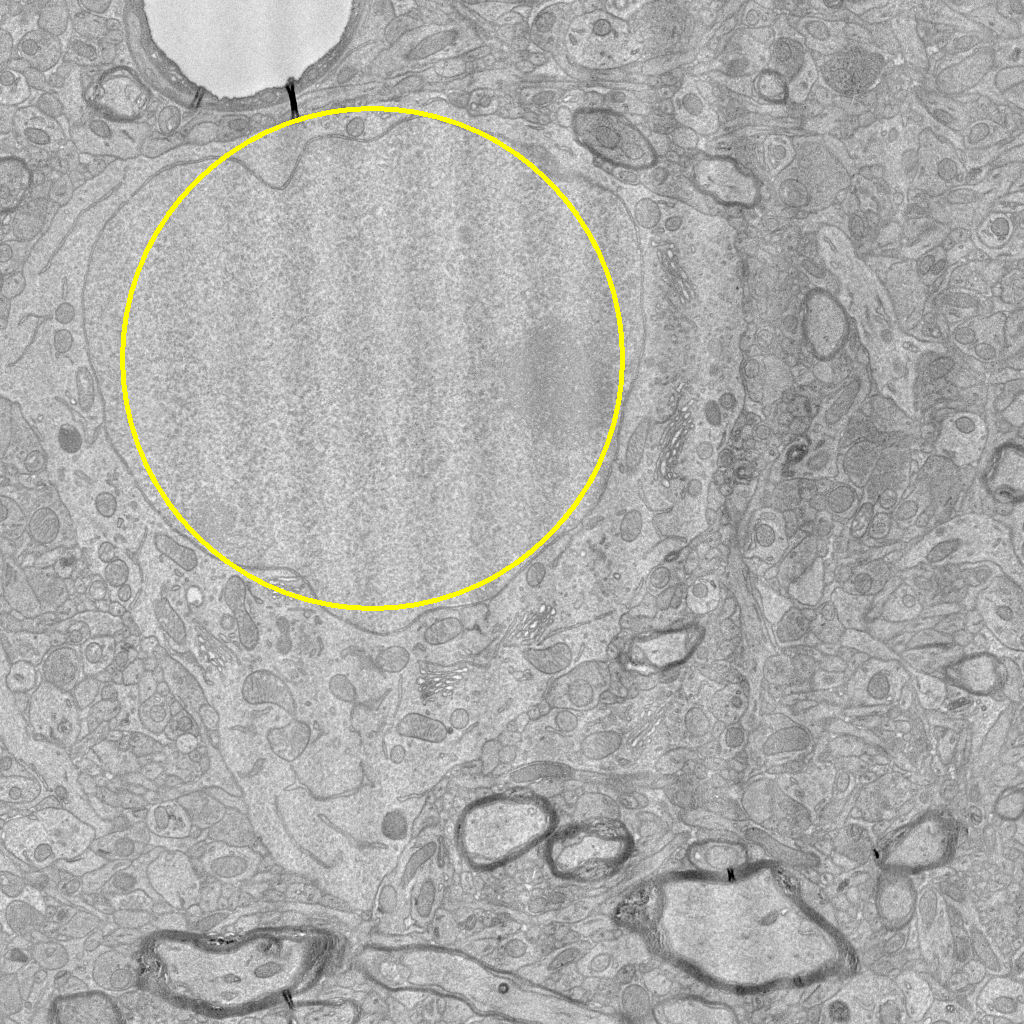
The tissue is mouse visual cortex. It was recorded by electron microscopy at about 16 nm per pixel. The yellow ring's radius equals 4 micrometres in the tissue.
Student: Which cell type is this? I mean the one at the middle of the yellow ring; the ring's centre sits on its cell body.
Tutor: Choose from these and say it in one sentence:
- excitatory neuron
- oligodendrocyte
The cell at the ring's centre is an excitatory neuron.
